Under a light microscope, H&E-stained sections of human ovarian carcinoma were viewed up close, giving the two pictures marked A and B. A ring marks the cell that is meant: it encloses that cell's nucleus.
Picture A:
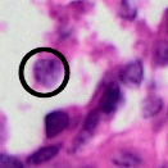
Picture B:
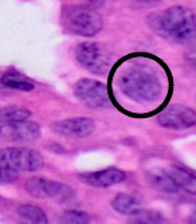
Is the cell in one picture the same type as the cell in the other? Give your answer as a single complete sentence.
No, the types are not the same, since picture A shows a “macrophage or monocyte” and picture B a carcinoma cell.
